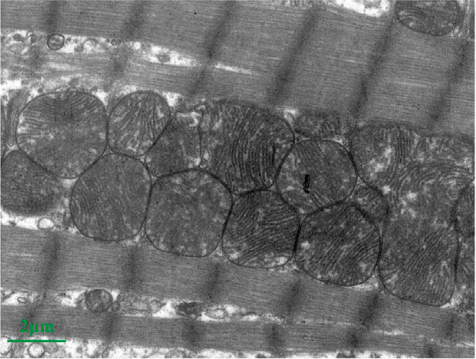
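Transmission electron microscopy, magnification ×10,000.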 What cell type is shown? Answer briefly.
cardiomyocytes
